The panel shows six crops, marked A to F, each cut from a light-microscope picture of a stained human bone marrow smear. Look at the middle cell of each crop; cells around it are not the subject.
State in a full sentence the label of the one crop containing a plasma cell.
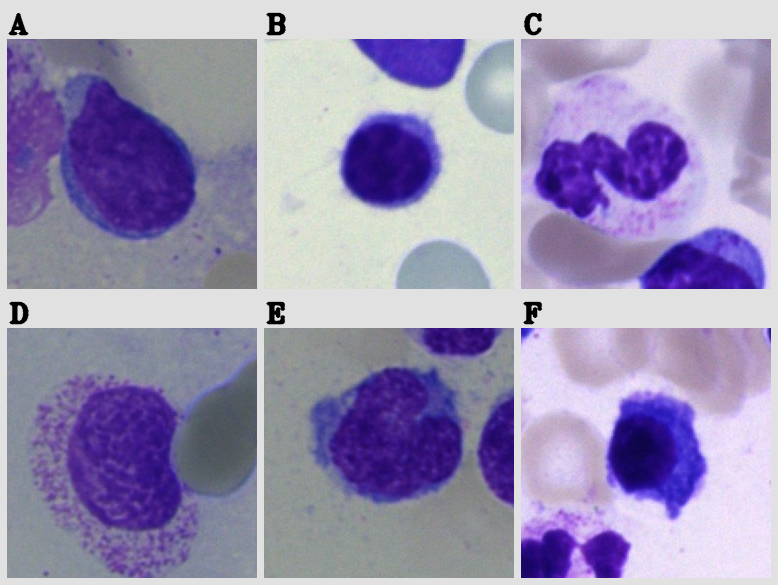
Crop F is the crop containing a plasma cell.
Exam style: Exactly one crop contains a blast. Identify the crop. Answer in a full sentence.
Crop A is the crop featuring a blast at its center.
